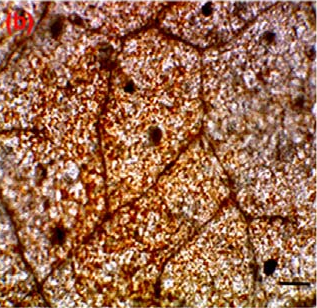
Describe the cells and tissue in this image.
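The interior of nearly every cell is densely covered with granular reddish-brown deposits that give the field a mottled appearance. The staining is spread across the cell faces rather than confined to the walls. A few small, dark, rounded bodies are scattered within the cells. The cells fit together edge to edge without gaps.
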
